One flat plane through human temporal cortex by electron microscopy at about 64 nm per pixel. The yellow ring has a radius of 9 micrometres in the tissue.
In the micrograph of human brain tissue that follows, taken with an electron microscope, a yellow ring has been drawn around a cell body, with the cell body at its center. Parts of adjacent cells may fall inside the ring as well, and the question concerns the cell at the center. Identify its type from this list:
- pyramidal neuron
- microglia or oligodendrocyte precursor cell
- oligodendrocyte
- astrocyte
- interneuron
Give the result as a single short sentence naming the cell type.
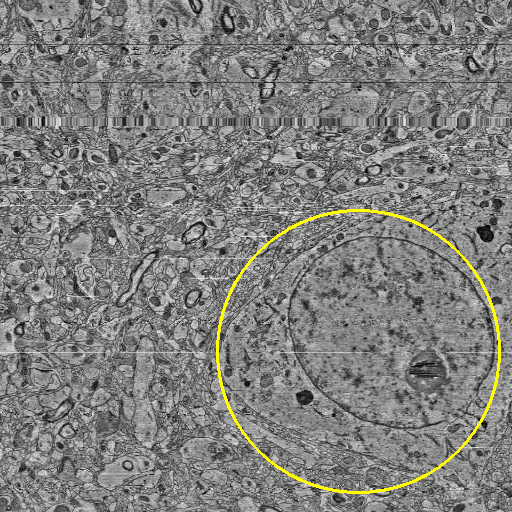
The ring is centered on a pyramidal neuron.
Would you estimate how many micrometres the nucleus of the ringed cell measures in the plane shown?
The nucleus has a long axis of about 14 micrometres and a short axis of about 12 micrometres in this plane.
